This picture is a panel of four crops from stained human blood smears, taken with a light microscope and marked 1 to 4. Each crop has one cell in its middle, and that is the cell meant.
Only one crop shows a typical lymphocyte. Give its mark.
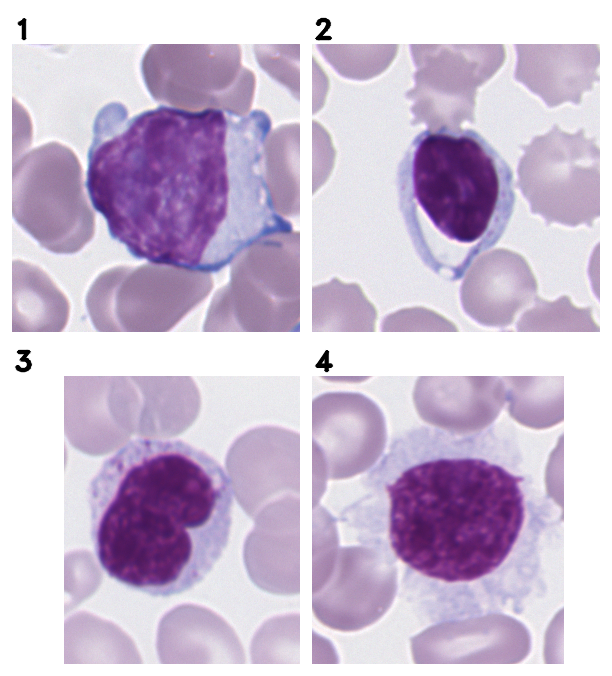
2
